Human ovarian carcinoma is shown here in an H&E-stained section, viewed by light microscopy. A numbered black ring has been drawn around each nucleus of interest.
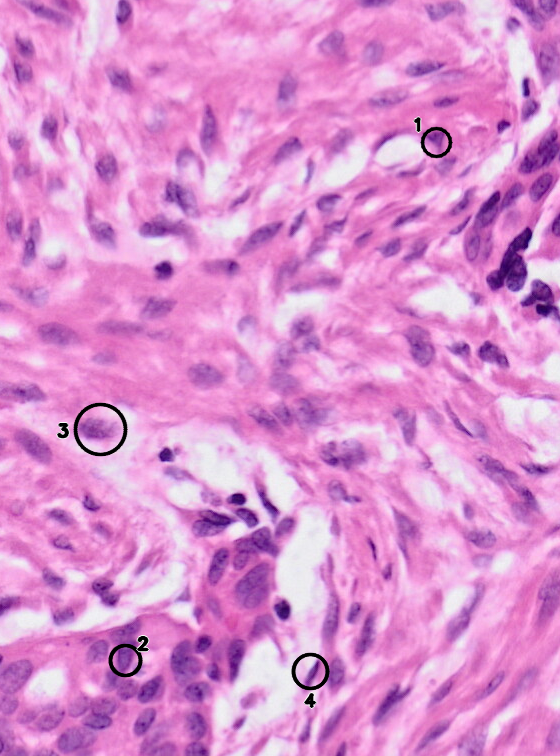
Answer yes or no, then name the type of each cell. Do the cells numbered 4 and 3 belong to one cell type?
Yes, both of the numbered cells concerned, 4 and 3, are fibroblasts.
